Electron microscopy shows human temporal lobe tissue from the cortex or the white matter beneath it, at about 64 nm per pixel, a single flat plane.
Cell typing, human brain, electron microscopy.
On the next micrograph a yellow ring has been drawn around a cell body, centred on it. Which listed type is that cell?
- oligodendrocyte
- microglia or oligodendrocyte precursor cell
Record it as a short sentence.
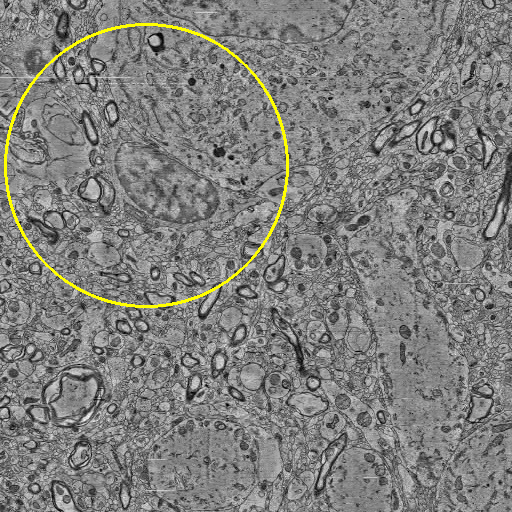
The cell body in the ring's centre belongs to an oligodendrocyte.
